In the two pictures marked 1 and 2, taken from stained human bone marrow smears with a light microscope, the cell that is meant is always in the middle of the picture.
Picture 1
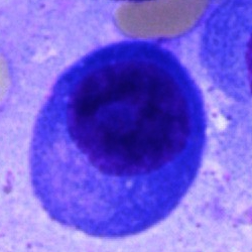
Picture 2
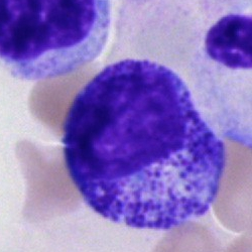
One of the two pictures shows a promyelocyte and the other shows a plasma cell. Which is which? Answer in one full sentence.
Picture 1 shows a plasma cell and picture 2 shows a promyelocyte.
